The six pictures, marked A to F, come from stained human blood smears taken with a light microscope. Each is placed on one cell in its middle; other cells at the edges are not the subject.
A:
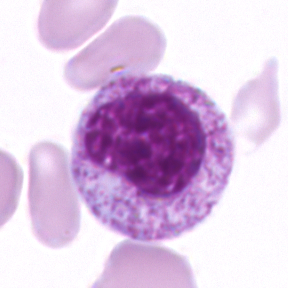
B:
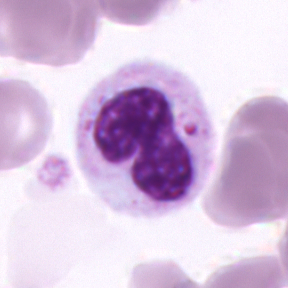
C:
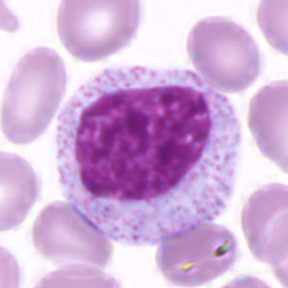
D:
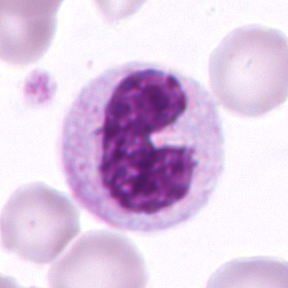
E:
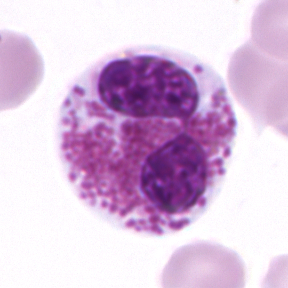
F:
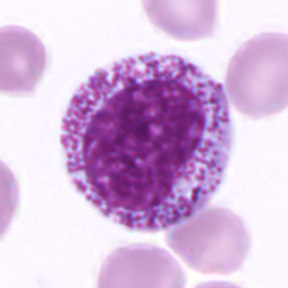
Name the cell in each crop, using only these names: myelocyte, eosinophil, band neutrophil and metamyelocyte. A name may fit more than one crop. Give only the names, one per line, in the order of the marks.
myelocyte
band neutrophil
metamyelocyte
band neutrophil
eosinophil
myelocyte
